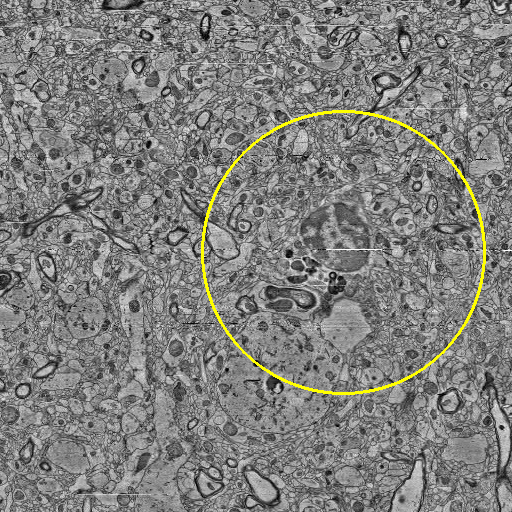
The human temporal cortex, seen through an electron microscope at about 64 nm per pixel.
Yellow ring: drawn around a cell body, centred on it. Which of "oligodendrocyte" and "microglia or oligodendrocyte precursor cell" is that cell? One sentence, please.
That cell body is from a microglial cell or oligodendrocyte precursor cell.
